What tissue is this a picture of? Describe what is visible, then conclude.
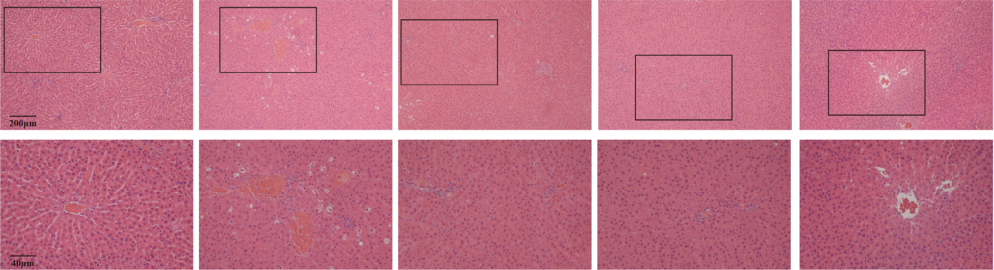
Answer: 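Polygonal cells with round central nuclei and pink cytoplasm are arranged in plates. The cell plates radiate from central vessels. Narrow sinusoid-like spaces separate the cell plates.
Hence: Liver.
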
